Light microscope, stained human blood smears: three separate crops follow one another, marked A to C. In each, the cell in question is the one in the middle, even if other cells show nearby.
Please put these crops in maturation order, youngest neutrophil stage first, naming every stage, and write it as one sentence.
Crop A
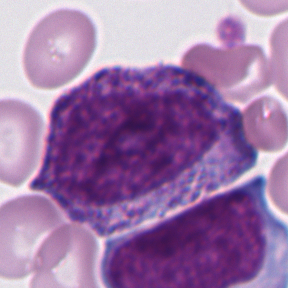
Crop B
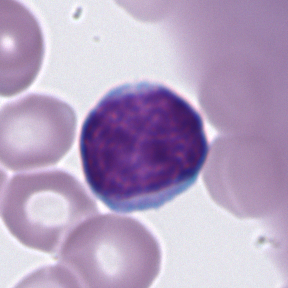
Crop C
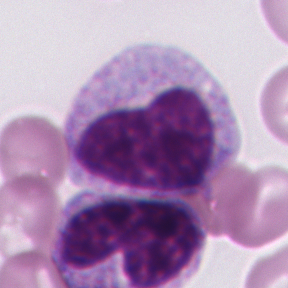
The sequence from earliest to latest maturation stage is crop B (a myeloblast), crop A (a myelocyte) and crop C (a metamyelocyte).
